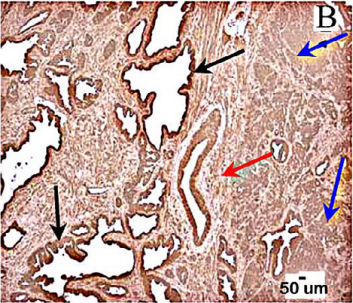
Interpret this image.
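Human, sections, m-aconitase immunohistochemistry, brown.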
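This is prostate tissue with large, dilated glands whose epithelial lining is stained brown. The gland lumens are wide and irregular, branching into the surrounding tissue, and their edges are darker brown than the tissue around them. Between them lies fibrous stroma, stained a lighter brown with streaky fibres. Towards the right edge, denser brown areas lack the large open lumens seen on the left.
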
